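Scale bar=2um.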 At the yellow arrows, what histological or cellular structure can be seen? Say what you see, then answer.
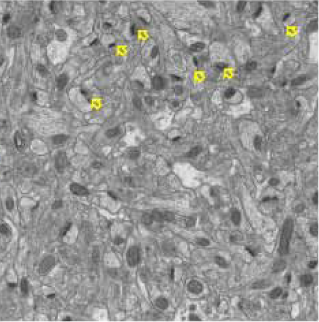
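Synapse. The arrows point at small dark densities scattered among many cross-sectioned profiles.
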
